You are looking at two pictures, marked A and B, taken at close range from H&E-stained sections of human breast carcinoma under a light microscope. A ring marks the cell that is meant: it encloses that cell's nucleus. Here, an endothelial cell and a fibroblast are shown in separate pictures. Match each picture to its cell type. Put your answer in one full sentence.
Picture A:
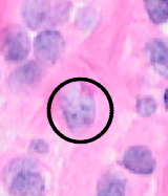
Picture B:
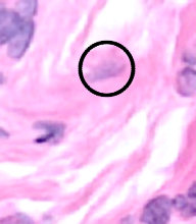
Picture B shows a fibroblast, while picture A shows an endothelial cell.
